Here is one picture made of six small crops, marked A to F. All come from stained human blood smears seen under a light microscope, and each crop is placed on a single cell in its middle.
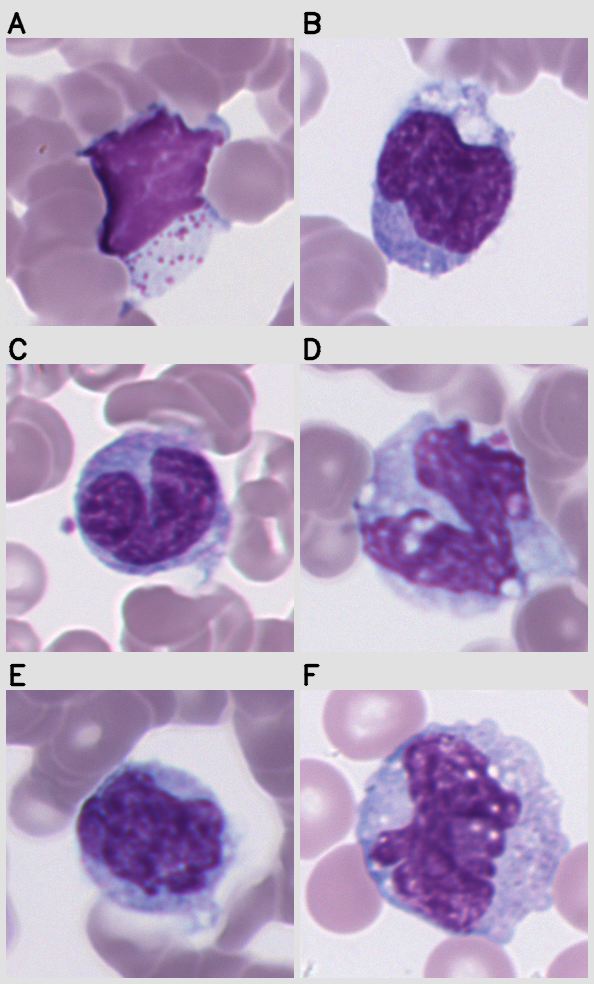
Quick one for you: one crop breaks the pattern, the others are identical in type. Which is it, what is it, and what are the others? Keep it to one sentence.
Crop A is different, showing a large granular lymphocyte, whereas all the others show monocytes.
